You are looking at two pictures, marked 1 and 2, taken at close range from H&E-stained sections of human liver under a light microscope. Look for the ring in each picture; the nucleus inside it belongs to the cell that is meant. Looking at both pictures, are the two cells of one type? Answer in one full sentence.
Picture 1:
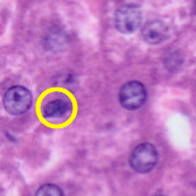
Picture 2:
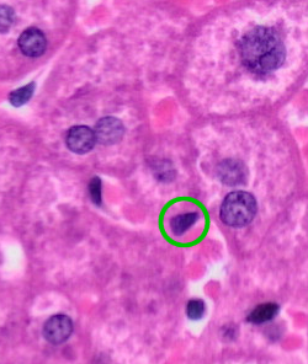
Yes, they are the same type: both are “fibroblasts or stellate cells”.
